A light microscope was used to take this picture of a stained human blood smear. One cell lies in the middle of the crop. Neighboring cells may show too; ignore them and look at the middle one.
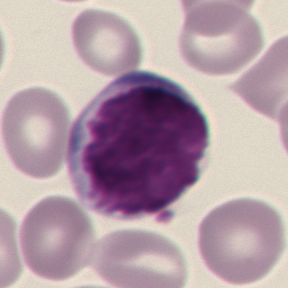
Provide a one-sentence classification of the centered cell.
The cell positioned in the middle of the field is a large granular lymphocyte.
